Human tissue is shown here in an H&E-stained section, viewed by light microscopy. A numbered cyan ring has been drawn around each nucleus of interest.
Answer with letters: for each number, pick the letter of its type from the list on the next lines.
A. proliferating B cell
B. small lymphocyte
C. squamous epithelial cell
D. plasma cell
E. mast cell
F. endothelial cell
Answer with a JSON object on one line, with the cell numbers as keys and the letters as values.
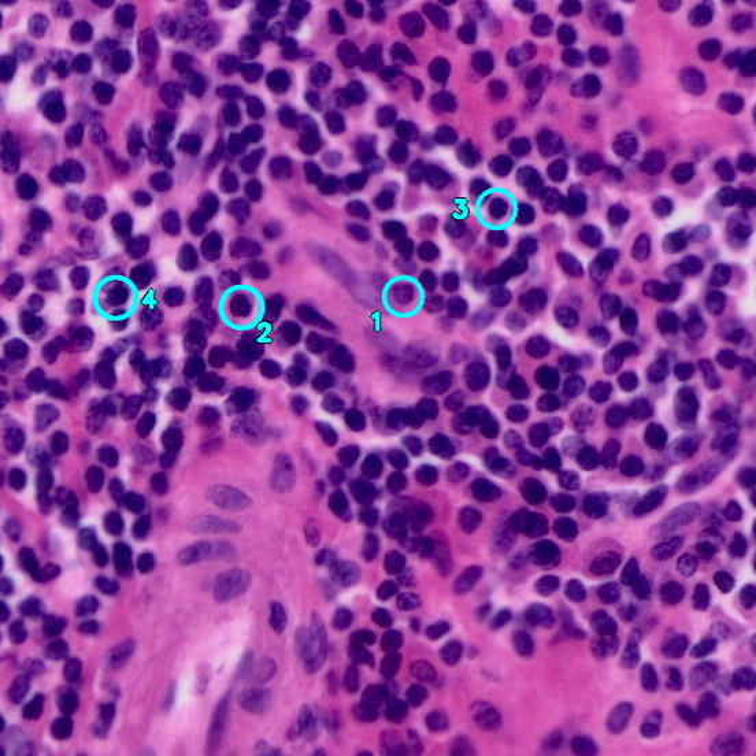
{"1": "F", "2": "B", "3": "B", "4": "B"}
